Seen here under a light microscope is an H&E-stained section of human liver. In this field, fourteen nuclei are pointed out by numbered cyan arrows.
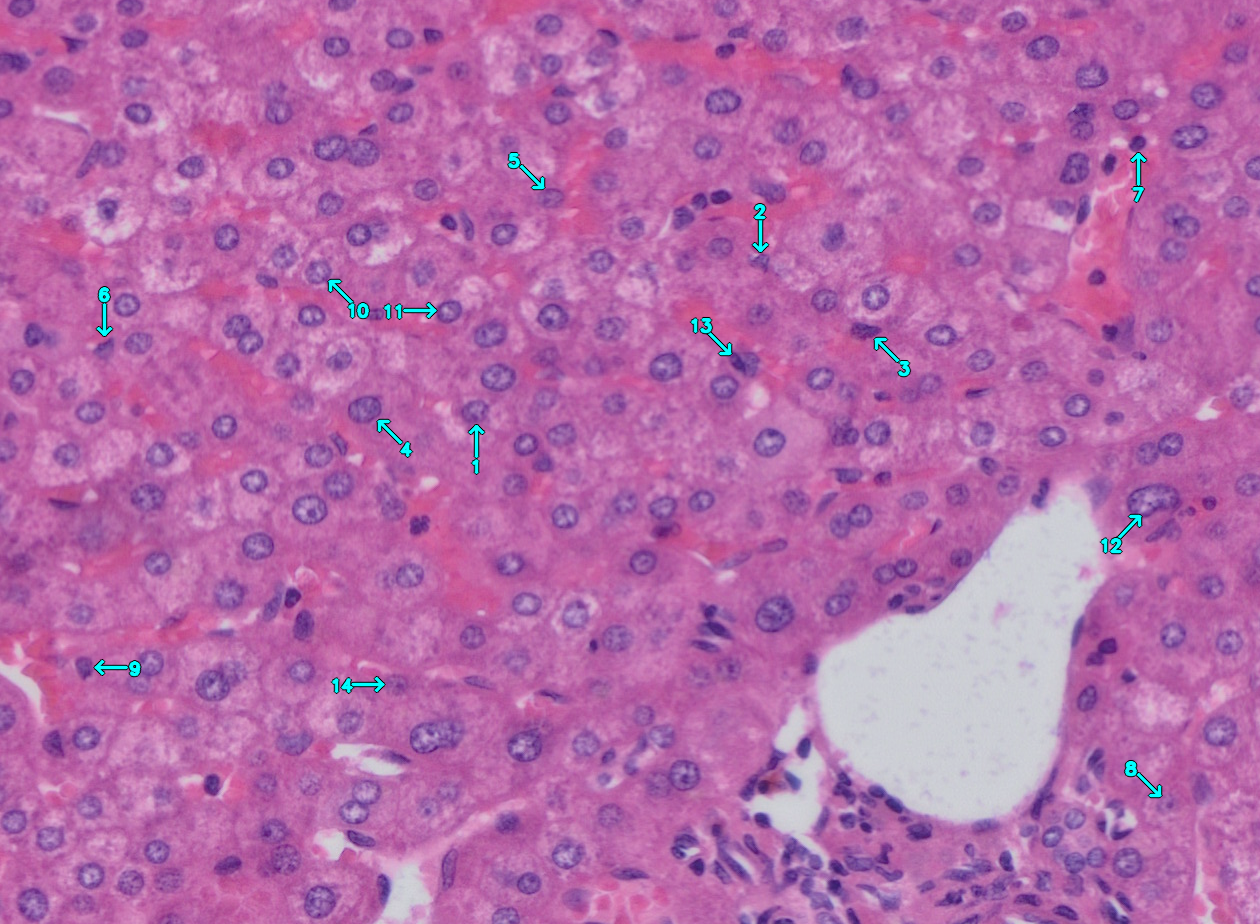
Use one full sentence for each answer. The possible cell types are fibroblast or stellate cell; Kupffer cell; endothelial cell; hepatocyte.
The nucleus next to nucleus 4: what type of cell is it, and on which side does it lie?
Lying below and to the left of nucleus 4, the nearest nucleus is that of an endothelial cell.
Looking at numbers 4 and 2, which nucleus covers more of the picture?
Nucleus 4 covers more area, about 3 times as much as nucleus 2.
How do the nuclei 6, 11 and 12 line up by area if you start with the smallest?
By area, going up from the smallest, they rank 6, 11, 12.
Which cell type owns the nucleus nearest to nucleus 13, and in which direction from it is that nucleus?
A Kupffer cell lies closest, to the right of nucleus 13.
